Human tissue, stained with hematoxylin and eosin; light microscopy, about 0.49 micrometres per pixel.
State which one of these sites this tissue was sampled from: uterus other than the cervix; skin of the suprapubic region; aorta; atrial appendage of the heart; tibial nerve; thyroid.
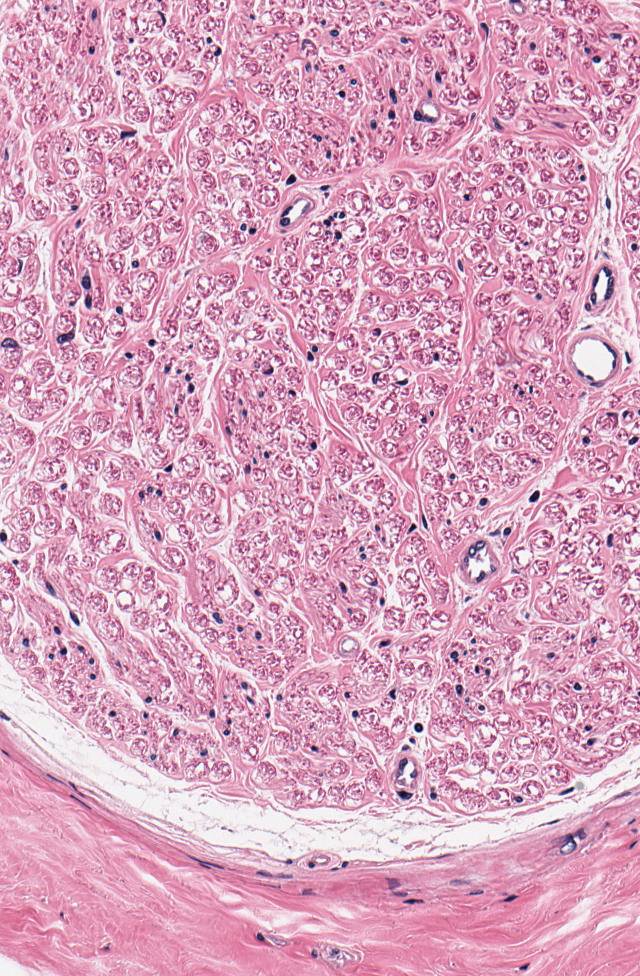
tibial nerve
